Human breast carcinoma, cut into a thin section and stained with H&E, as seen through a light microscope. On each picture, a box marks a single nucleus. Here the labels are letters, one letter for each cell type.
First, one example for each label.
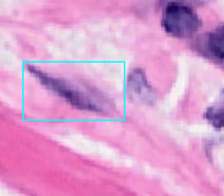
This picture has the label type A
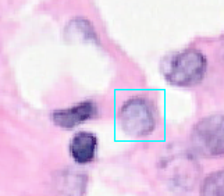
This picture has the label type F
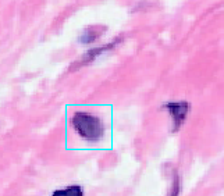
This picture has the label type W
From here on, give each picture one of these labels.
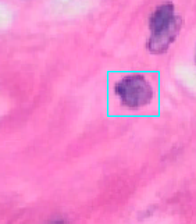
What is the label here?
type W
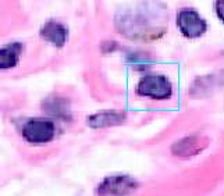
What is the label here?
type W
